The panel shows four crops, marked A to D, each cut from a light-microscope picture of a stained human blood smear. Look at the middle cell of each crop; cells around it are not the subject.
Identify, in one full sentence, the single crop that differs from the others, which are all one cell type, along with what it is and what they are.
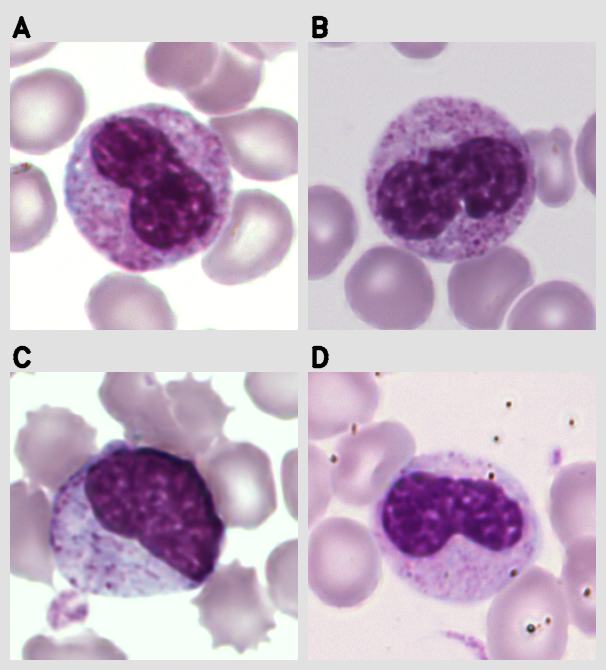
Crop C is not like the others: it is a metamyelocyte, and they are band neutrophils.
